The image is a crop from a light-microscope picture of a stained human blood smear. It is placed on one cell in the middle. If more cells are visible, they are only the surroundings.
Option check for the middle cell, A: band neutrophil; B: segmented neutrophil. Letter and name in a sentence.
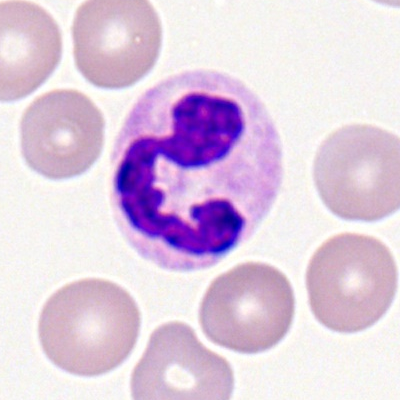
That the central cell is a segmented neutrophil makes option B correct.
